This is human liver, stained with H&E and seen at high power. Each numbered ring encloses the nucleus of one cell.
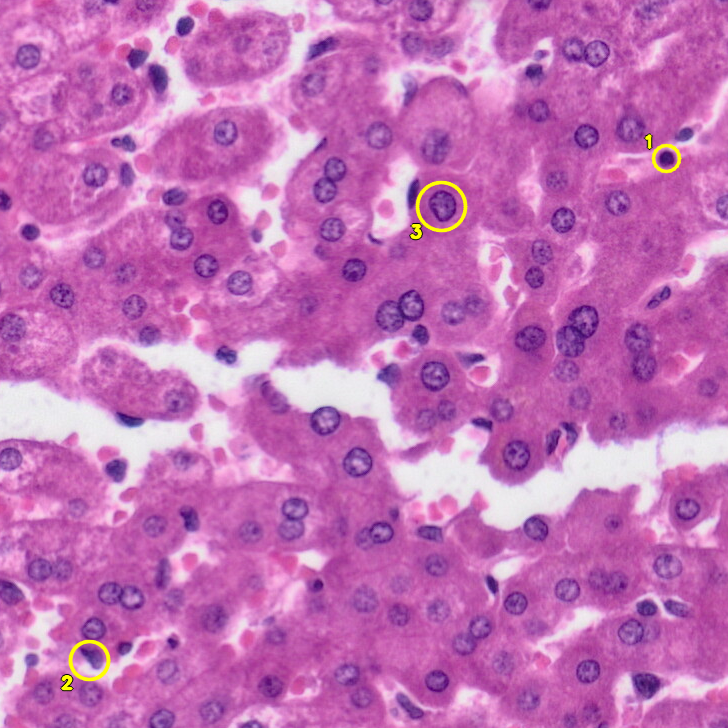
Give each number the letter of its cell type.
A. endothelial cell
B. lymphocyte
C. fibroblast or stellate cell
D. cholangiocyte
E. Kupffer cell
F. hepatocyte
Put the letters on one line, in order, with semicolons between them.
B; A; F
